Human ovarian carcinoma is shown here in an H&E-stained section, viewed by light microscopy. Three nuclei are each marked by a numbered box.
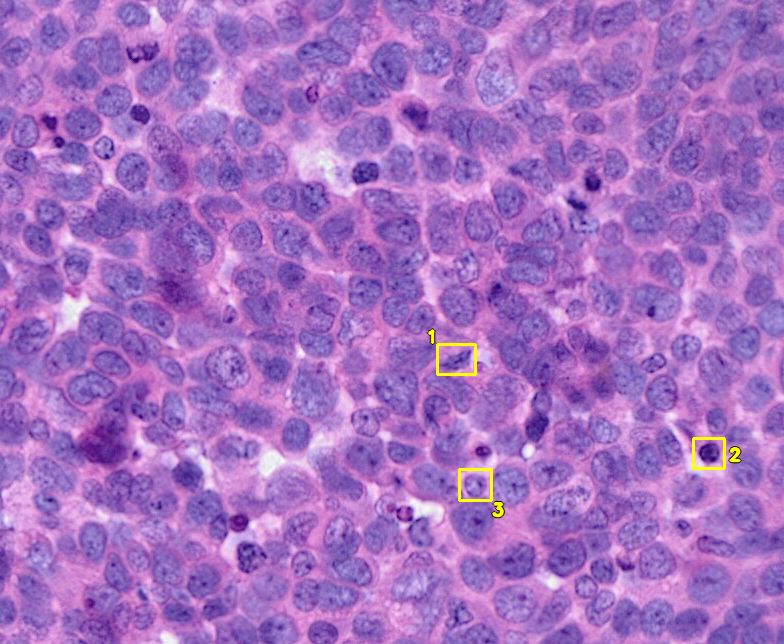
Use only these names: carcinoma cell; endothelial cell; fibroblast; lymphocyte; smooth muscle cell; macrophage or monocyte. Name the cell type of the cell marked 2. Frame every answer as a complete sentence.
The cell to which the number 2 is assigned is a lymphocyte.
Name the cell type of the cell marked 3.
The numbered cell 3 in this field is a macrophage or monocyte.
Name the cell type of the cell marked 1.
Number 1 is placed on a macrophage or monocyte here.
